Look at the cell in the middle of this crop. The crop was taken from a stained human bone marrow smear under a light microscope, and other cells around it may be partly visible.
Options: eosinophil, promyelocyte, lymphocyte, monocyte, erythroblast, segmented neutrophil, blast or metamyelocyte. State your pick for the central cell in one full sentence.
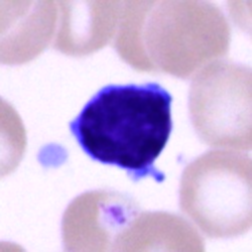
The cell nearest the centre of this crop is a lymphocyte.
